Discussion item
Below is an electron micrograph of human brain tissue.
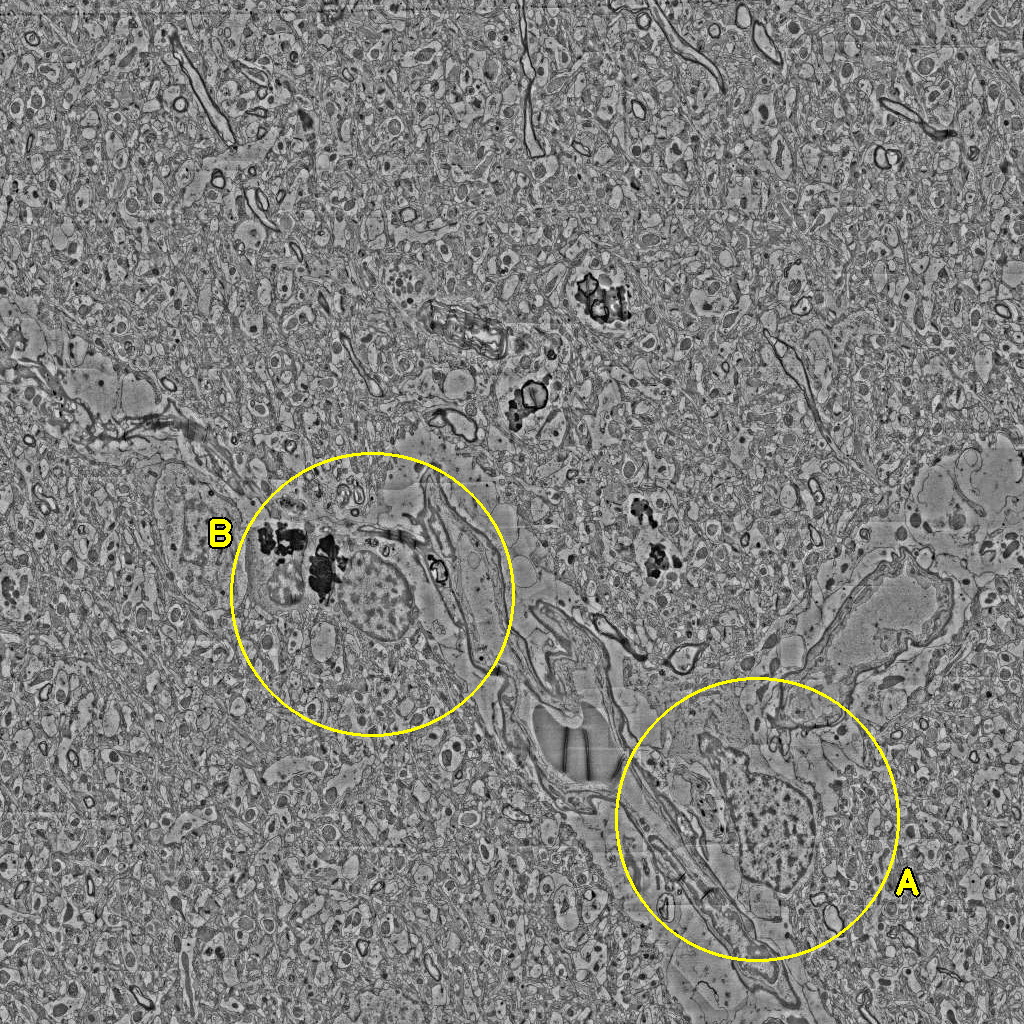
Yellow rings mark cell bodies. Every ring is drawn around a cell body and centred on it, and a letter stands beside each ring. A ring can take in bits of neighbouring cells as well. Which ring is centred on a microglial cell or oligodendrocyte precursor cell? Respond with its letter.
A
